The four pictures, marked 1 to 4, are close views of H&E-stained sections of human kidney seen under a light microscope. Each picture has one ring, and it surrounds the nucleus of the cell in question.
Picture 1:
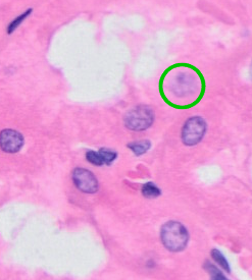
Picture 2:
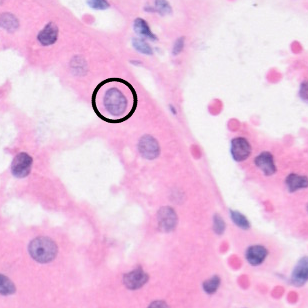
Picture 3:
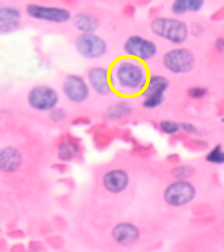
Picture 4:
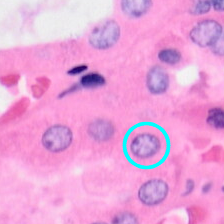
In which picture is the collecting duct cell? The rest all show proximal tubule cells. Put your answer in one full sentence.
Picture 3 is the one that shows the collecting duct cell.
